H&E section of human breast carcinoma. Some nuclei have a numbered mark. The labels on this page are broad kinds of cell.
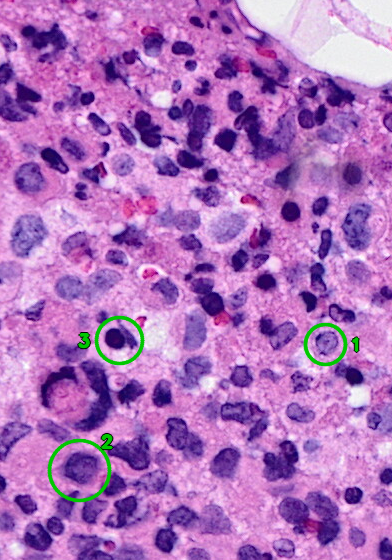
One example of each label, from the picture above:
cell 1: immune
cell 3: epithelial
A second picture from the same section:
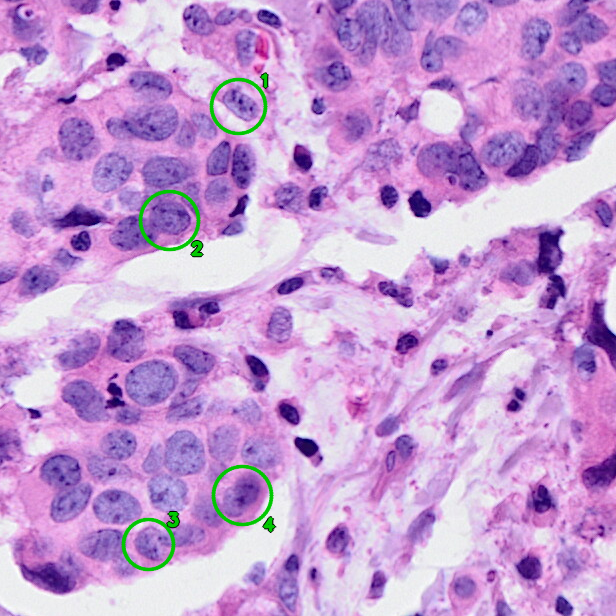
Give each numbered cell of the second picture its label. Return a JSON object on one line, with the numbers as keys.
{"1": "immune", "2": "epithelial", "3": "epithelial", "4": "epithelial"}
